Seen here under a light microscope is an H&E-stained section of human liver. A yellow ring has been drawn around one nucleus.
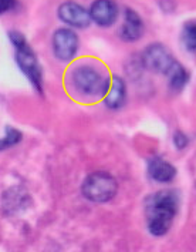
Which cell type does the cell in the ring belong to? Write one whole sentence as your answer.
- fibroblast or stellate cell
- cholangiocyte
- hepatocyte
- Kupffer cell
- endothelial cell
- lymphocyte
Within this tissue, the cell in the ring is a cholangiocyte.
